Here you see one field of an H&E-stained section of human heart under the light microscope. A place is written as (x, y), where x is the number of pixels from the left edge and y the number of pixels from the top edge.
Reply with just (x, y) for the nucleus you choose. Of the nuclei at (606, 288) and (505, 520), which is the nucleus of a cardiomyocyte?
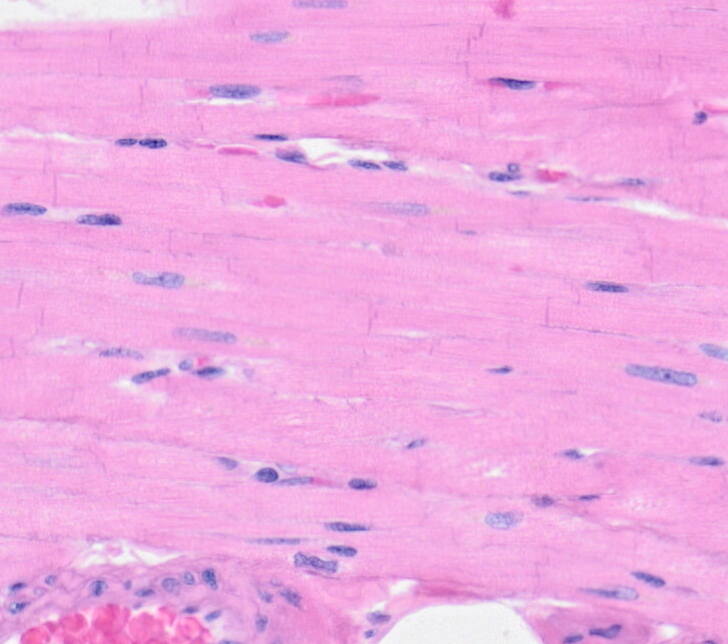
(505, 520)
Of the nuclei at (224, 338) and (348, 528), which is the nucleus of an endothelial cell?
(348, 528)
